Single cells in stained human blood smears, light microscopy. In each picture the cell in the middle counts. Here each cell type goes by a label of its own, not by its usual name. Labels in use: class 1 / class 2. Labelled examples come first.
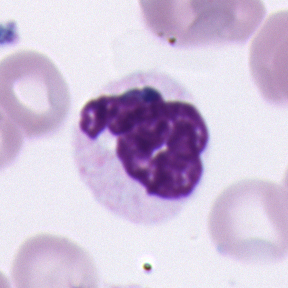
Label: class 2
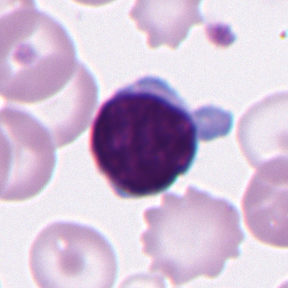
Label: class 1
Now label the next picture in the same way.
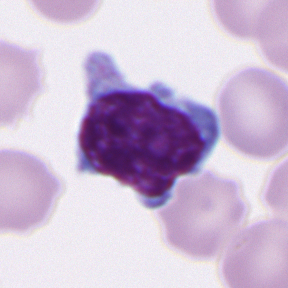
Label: class 1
